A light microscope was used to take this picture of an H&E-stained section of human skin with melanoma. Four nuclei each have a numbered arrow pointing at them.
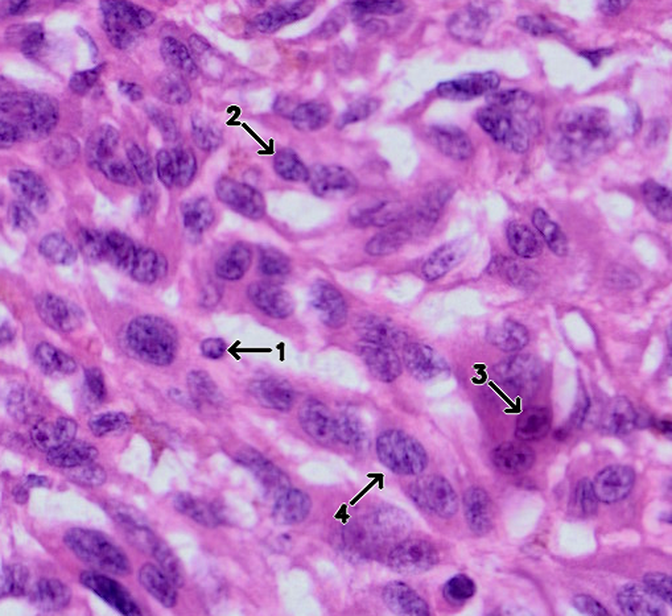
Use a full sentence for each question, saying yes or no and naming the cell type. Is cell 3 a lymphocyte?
No, it is a melanoma cell, not a lymphocyte, at number 3.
